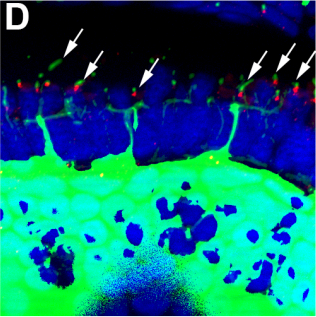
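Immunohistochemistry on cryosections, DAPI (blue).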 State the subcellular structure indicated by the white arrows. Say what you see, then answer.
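Cilia. The arrows point to thin green rod-like strands at the outer edge of the cell layer. Small red dots sit at the base or along these strands. The strands project outward from a row of blue nuclei.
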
